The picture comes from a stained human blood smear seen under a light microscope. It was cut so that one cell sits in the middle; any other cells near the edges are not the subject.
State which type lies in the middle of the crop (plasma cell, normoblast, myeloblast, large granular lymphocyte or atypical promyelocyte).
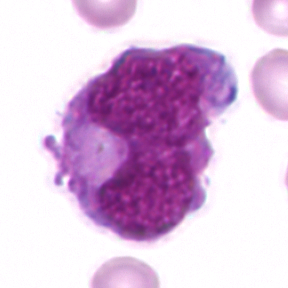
atypical promyelocyte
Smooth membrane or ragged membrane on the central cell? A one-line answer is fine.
The cell is outlined unevenly, the border being ragged or extended into projections.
